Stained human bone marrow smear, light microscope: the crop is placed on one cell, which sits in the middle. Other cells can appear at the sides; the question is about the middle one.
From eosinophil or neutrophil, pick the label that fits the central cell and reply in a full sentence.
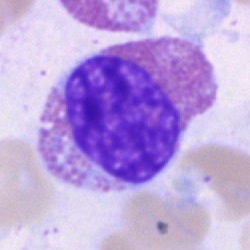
The cell at the middle of the crop is recognized as an eosinophil.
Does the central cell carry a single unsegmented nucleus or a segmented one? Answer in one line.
A single compact nucleus is present, shaped round, oval or like a kidney.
